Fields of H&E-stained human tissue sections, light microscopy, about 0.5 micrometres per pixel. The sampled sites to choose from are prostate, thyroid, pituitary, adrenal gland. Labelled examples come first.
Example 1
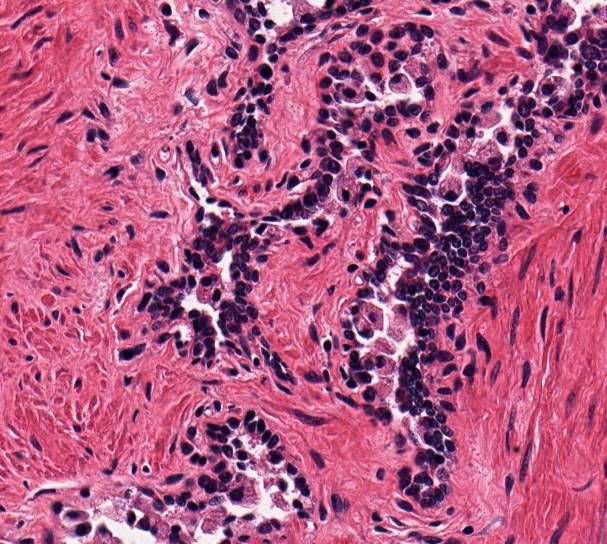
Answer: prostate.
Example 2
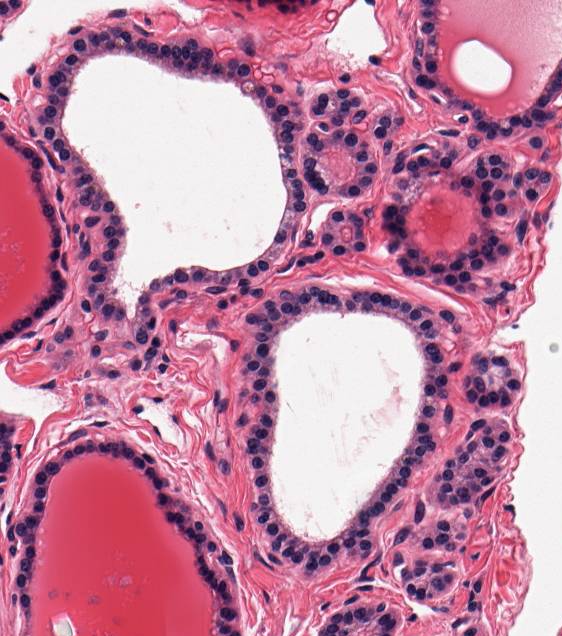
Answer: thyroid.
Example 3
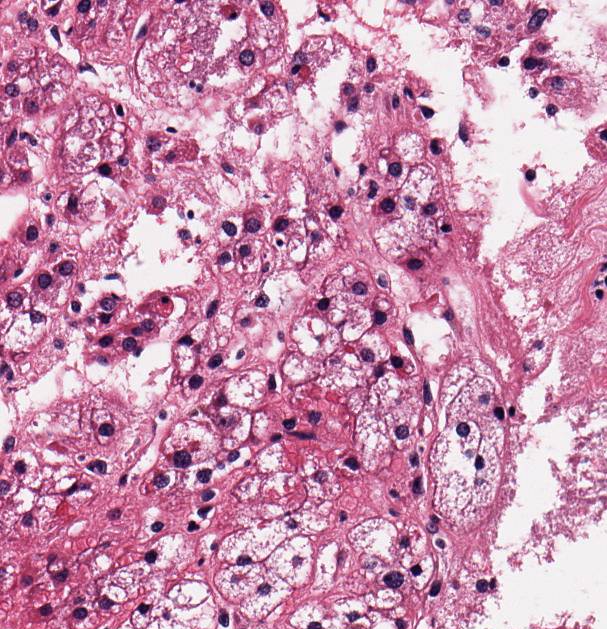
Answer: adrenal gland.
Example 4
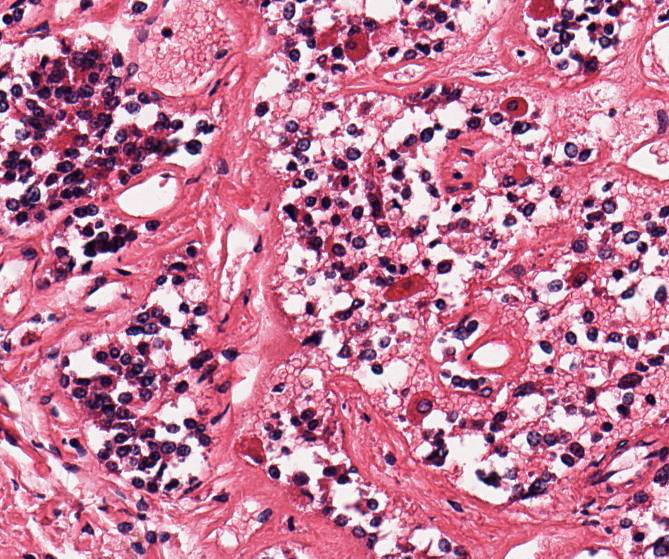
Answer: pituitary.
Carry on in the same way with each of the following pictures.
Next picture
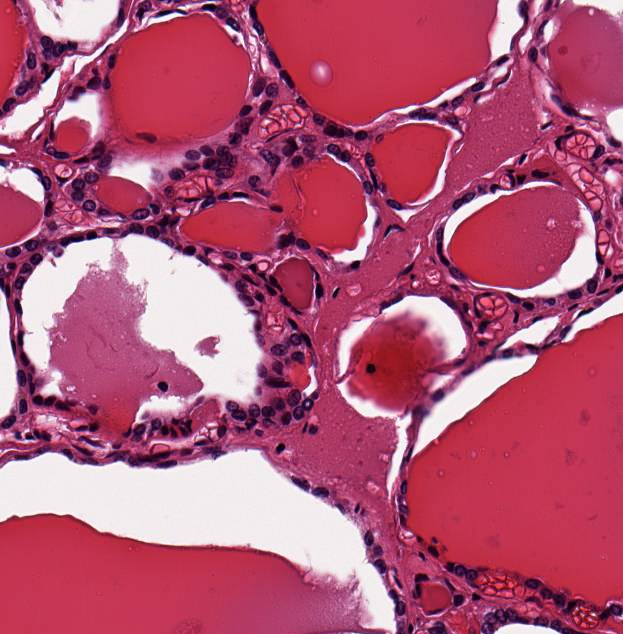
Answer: thyroid.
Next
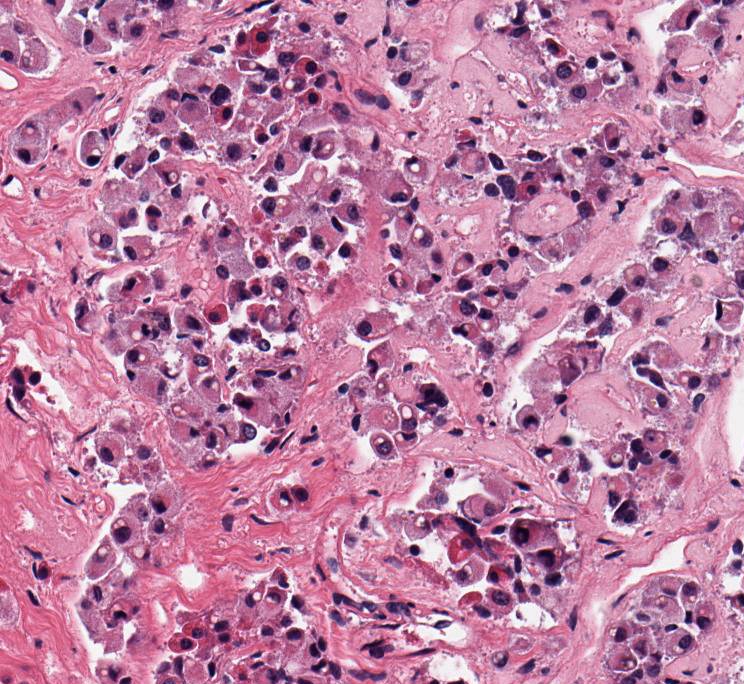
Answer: pituitary.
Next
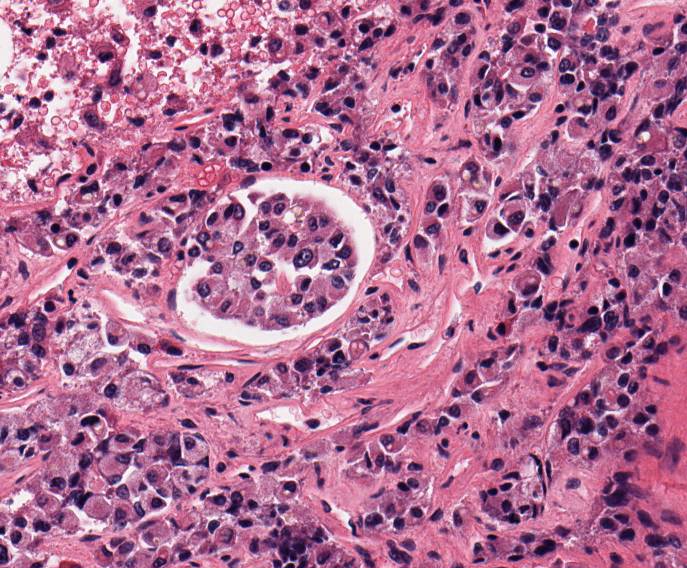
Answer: pituitary.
